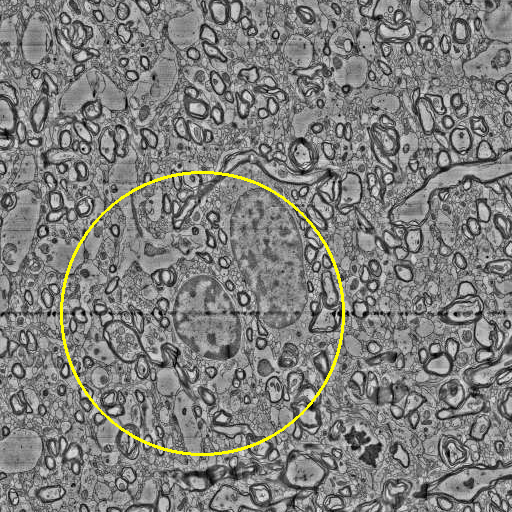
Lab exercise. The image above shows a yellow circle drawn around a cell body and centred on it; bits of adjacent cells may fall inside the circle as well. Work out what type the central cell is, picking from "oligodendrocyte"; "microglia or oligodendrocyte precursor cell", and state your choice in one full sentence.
In the image above, the cell at the centre of the yellow circle is a microglial cell or oligodendrocyte precursor cell.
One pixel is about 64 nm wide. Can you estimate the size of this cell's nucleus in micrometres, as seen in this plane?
The nucleus measures about 5 by 4 micrometres in this plane.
